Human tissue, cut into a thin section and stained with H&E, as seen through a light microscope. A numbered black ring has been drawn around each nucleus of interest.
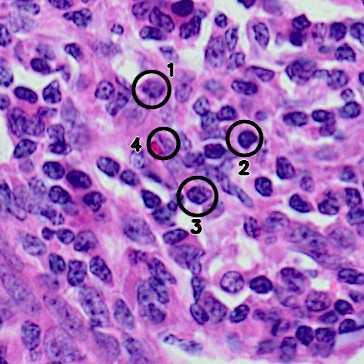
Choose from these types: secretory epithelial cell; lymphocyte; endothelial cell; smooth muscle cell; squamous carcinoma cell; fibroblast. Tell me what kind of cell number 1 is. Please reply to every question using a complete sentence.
The expected answer is that cell 1 is a lymphocyte.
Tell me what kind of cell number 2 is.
The correct answer for cell 2 is a lymphocyte.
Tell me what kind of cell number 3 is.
The expected answer is that cell 3 is a lymphocyte.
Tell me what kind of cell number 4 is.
At number 4, the marked cell is an endothelial cell.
